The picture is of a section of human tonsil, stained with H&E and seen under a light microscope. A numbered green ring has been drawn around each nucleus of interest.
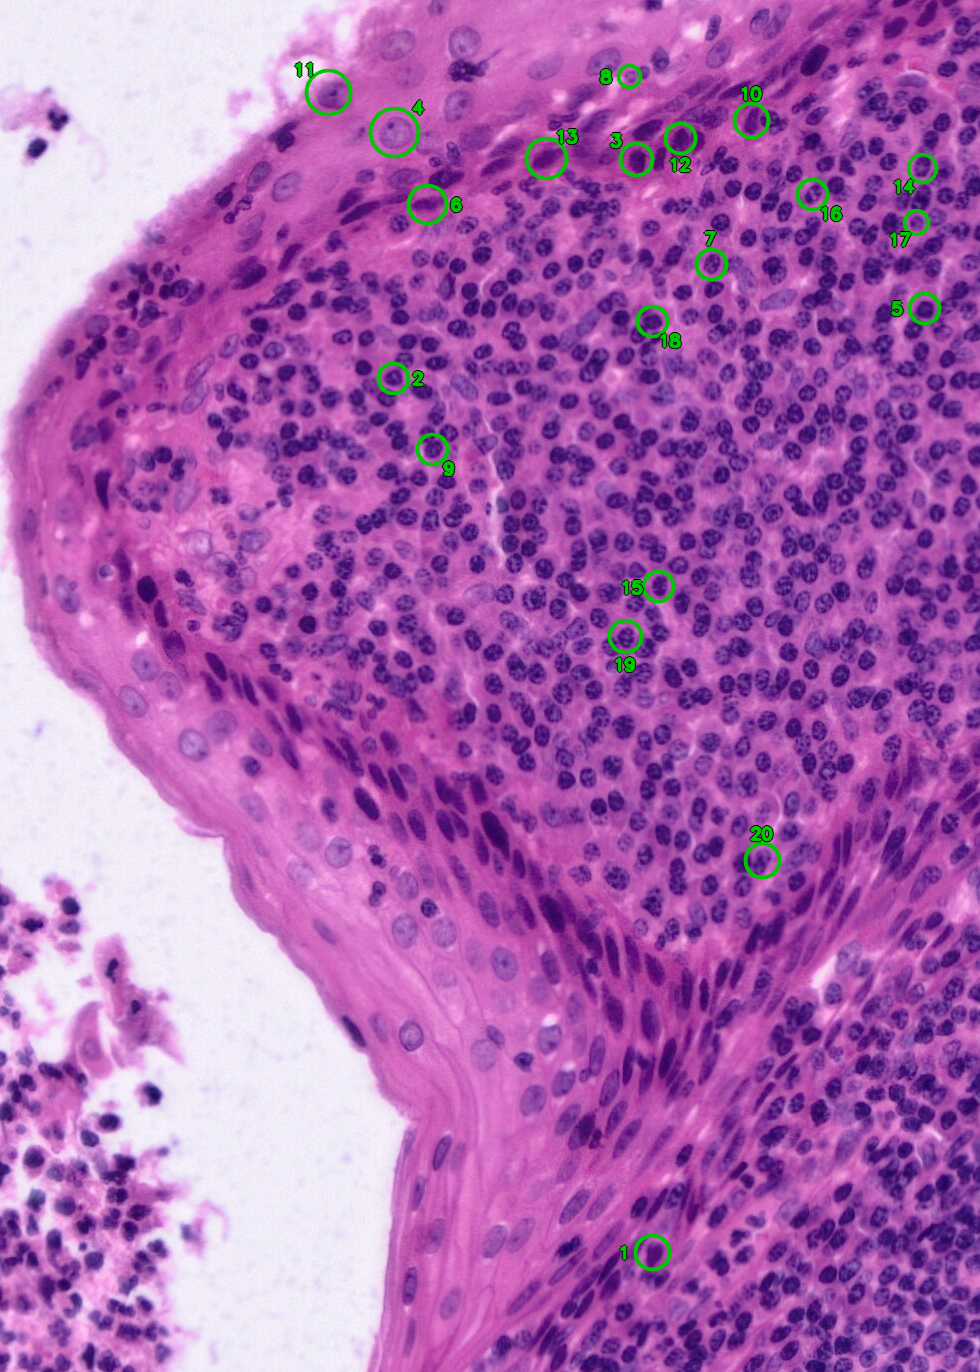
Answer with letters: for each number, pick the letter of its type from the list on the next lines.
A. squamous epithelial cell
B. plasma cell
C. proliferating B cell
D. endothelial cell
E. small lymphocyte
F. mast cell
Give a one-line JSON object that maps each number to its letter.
{"1": "A", "2": "B", "3": "A", "4": "A", "5": "B", "6": "A", "7": "B", "8": "A", "9": "B", "10": "A", "11": "A", "12": "A", "13": "A", "14": "B", "15": "B", "16": "B", "17": "B", "18": "B", "19": "B", "20": "B"}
